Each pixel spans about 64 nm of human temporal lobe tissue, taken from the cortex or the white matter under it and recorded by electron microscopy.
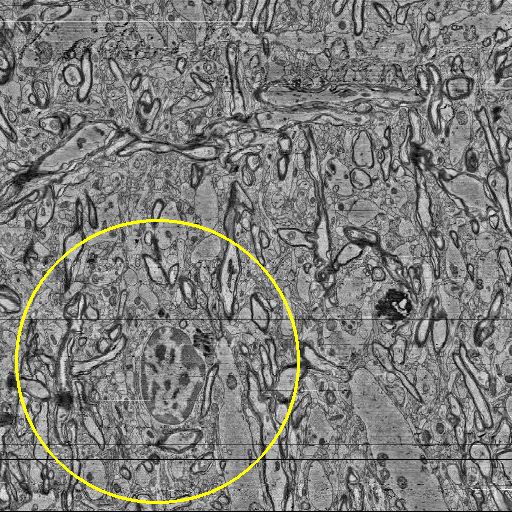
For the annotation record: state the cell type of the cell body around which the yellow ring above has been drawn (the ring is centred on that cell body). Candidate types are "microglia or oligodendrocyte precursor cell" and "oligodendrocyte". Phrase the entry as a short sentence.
The ringed cell is a microglial cell or oligodendrocyte precursor cell.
